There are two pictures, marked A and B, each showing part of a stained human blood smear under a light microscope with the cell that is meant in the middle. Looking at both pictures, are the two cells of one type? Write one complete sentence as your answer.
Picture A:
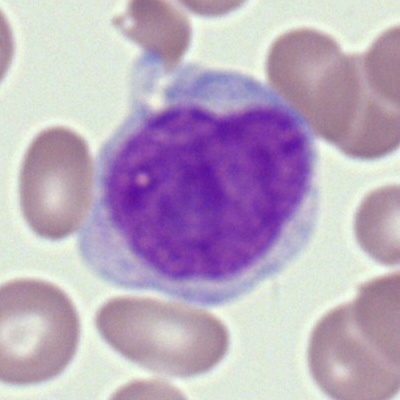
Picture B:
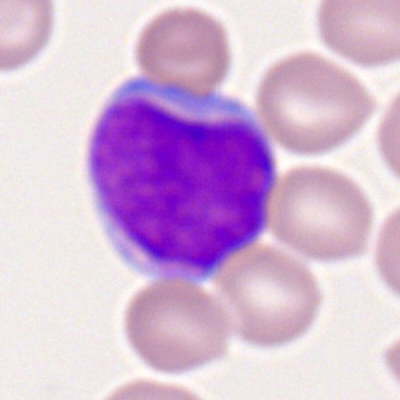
Yes, both are myeloblasts.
